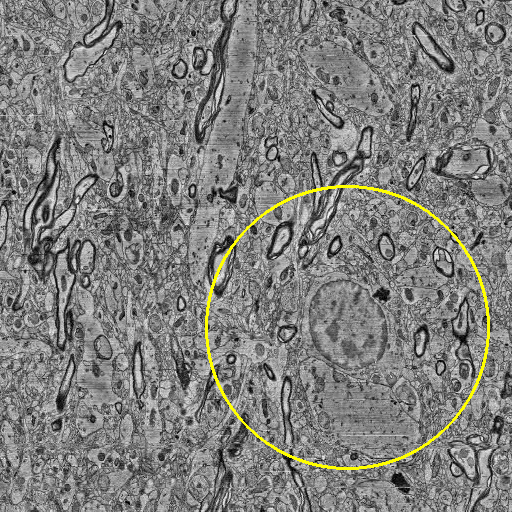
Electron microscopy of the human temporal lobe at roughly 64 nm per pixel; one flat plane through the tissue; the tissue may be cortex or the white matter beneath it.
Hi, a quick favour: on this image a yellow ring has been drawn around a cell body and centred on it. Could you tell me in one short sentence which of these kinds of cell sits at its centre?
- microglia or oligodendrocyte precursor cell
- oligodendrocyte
The ring is centred on an oligodendrocyte.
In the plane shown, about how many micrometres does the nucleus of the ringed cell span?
The nucleus appears roughly 6 by 5 micrometres in this plane.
